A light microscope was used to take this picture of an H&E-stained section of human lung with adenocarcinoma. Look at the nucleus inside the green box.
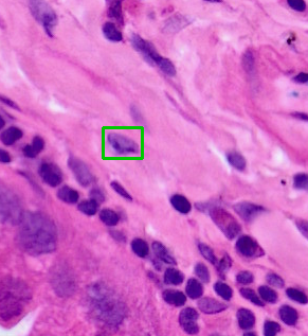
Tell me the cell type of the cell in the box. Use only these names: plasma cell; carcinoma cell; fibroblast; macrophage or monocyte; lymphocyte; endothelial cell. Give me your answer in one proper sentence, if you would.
In the context of this tissue, the cell in the box is a fibroblast.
